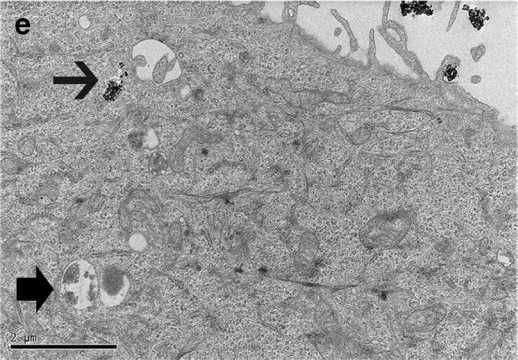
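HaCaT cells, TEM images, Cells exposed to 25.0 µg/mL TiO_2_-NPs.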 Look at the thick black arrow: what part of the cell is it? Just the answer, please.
Vesicles.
